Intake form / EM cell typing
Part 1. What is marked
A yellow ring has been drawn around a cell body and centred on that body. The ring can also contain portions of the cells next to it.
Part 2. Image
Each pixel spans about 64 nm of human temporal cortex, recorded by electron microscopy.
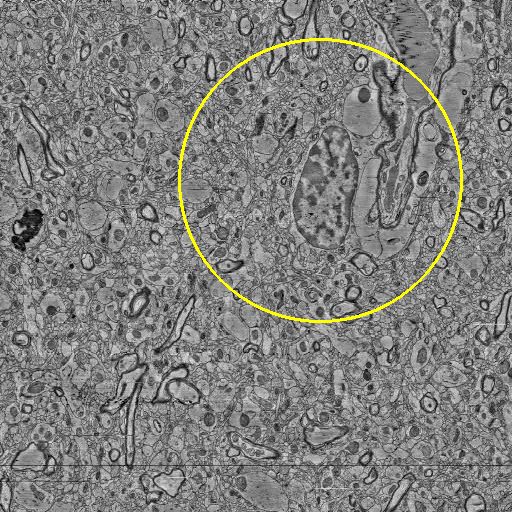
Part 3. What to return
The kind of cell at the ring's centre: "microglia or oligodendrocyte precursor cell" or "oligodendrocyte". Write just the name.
microglia or oligodendrocyte precursor cell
